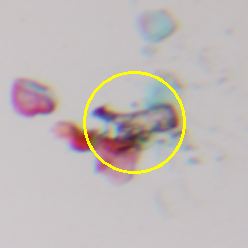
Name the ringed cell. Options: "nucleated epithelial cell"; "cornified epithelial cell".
cornified epithelial cell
